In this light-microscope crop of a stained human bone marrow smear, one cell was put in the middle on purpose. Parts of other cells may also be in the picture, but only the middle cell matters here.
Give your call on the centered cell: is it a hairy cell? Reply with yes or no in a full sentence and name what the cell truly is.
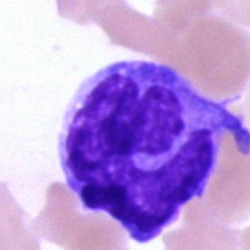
No, in the centre of the crop lies a monocyte, not a hairy cell.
